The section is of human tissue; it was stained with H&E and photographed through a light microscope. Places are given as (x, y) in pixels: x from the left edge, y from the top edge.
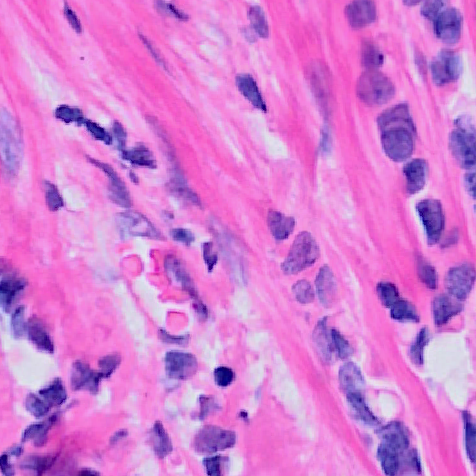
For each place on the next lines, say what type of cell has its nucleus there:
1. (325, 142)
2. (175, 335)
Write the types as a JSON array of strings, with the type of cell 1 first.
["fibroblast", "endothelial cell"]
